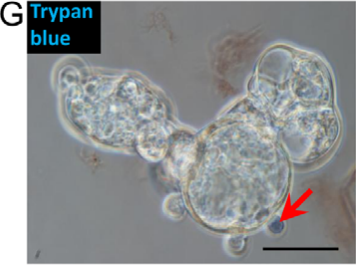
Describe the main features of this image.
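The cells are pale and clear, with refractile outlines; within the lobes individual cells can be made out as packed rounded bodies, and one large lobe has a smooth, thin outer rim like a hollow ball. Small round cells cling to the colony's edge. Almost all cells are unstained and clear, but one small cell at the lower margin is dark and bluish, having taken up the dye.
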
